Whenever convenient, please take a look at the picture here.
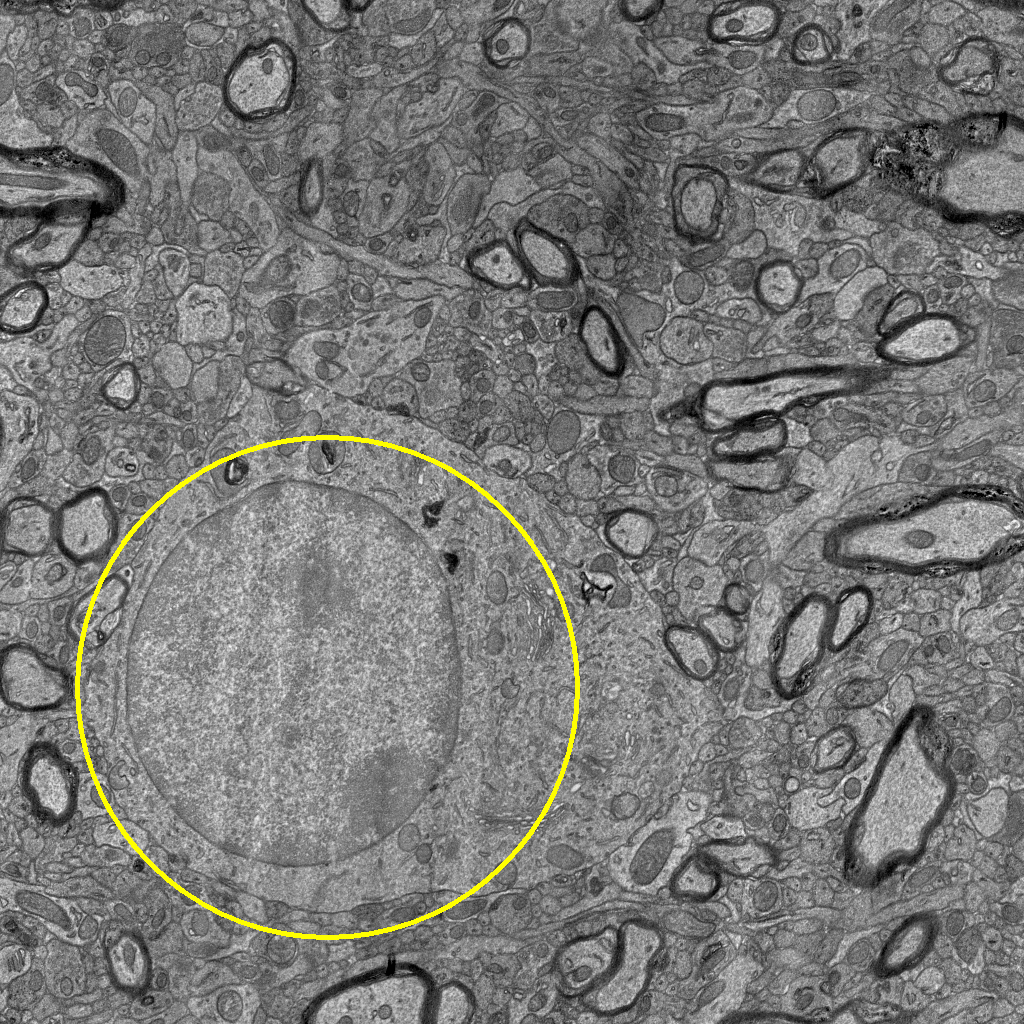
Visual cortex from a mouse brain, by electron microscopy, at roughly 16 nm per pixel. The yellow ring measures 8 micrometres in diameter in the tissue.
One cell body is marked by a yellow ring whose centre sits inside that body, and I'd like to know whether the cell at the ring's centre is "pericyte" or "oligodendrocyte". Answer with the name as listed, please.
oligodendrocyte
